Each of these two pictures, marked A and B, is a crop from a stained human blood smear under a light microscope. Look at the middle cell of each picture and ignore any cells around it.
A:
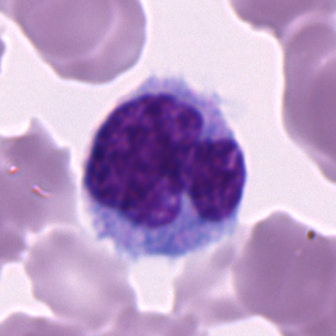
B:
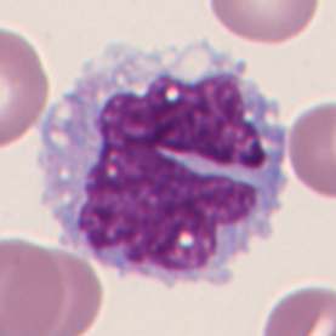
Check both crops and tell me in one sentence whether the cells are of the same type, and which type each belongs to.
No, crop A has a hairy cell at its center, and crop B has a monocyte.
